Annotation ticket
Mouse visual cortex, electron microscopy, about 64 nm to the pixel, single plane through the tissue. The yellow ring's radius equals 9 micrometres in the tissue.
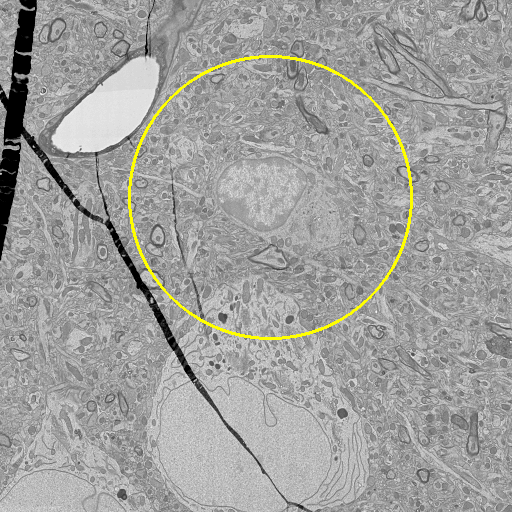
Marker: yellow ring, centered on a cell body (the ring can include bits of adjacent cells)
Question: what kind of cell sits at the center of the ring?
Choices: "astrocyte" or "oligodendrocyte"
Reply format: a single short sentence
The ring is centered on an oligodendrocyte.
